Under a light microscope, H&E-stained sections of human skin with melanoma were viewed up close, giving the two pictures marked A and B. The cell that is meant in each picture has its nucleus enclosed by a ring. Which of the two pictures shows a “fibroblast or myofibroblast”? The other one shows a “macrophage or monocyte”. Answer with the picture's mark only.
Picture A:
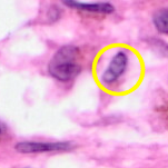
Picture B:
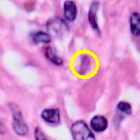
B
